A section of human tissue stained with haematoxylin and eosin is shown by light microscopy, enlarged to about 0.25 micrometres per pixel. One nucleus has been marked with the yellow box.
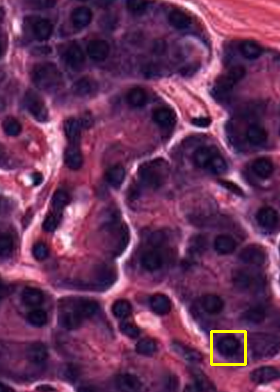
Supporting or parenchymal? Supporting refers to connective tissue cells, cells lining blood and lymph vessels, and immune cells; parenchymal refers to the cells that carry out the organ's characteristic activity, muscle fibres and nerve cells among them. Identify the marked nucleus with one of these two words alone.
parenchymal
